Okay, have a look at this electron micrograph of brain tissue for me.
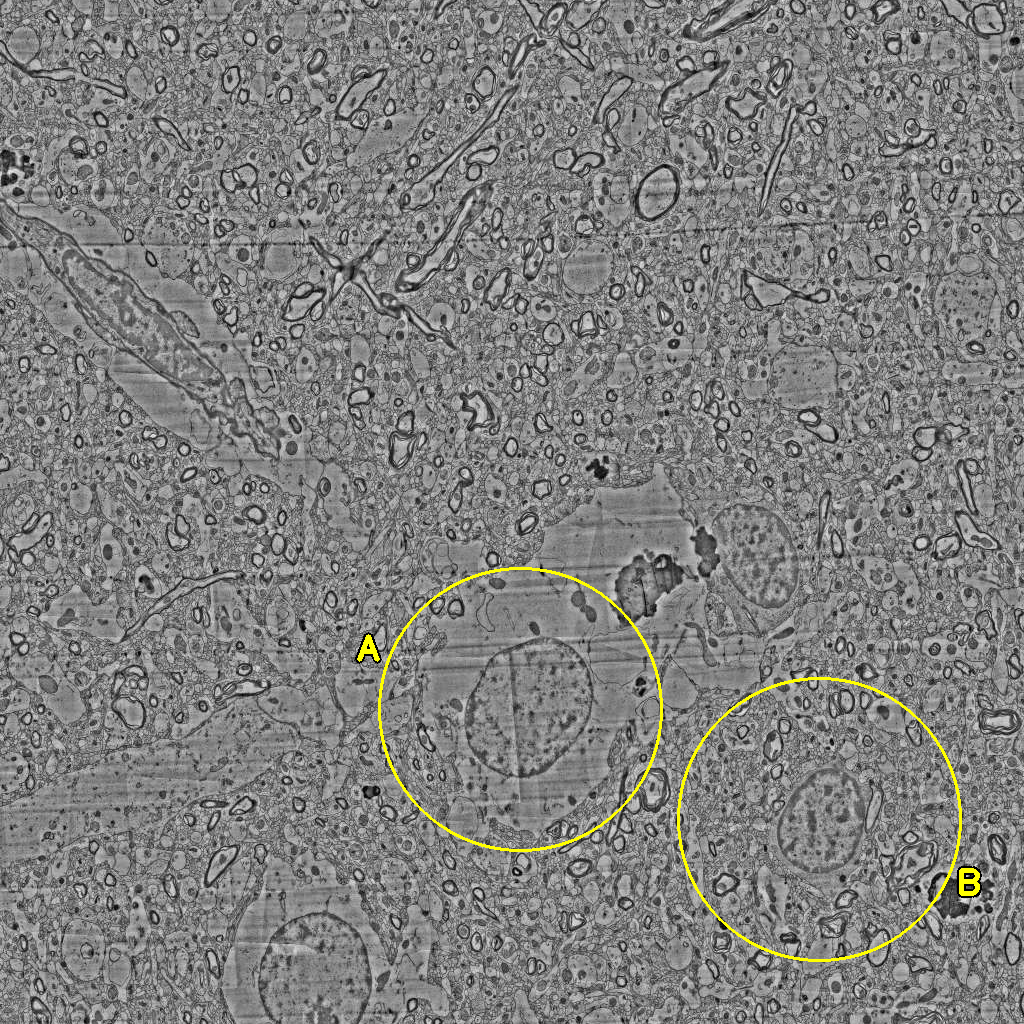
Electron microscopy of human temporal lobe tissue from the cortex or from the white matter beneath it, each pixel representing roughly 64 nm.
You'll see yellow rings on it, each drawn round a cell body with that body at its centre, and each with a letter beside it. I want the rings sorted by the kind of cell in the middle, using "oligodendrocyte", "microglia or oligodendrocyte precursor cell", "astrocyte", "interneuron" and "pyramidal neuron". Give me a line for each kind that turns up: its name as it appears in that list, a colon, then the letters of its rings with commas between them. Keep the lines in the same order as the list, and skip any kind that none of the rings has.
oligodendrocyte: B
astrocyte: A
